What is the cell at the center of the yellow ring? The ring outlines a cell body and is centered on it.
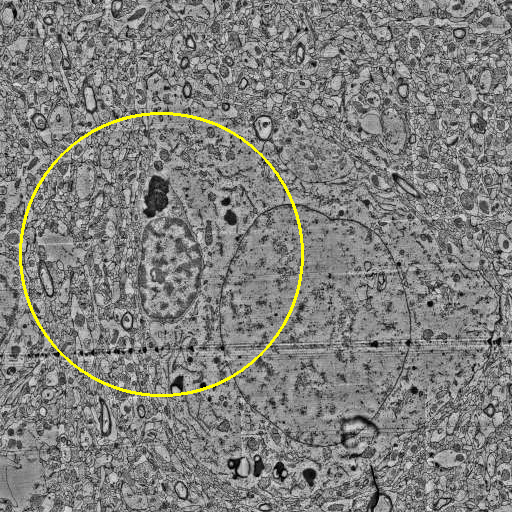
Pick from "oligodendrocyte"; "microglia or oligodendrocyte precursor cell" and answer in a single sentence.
The yellow ring is centered on an oligodendrocyte.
